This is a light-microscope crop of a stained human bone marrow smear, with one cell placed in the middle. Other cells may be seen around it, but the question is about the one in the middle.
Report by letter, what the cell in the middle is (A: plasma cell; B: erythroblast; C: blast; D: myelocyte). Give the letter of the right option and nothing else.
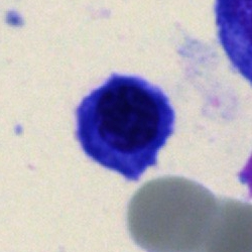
A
